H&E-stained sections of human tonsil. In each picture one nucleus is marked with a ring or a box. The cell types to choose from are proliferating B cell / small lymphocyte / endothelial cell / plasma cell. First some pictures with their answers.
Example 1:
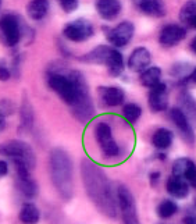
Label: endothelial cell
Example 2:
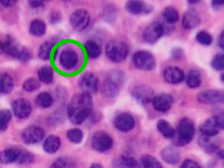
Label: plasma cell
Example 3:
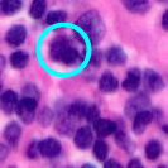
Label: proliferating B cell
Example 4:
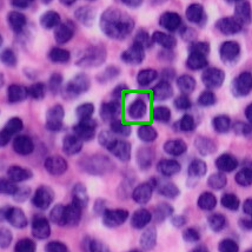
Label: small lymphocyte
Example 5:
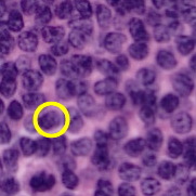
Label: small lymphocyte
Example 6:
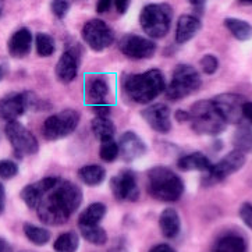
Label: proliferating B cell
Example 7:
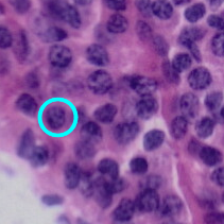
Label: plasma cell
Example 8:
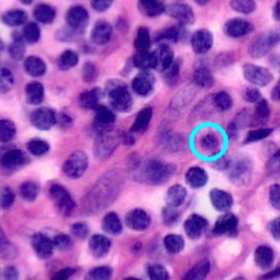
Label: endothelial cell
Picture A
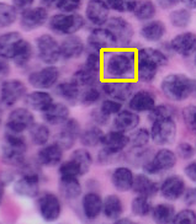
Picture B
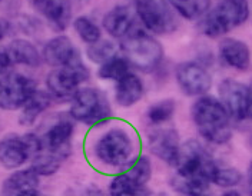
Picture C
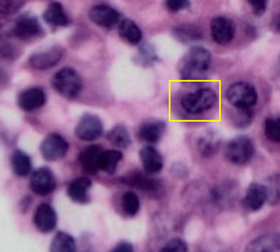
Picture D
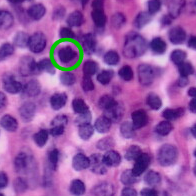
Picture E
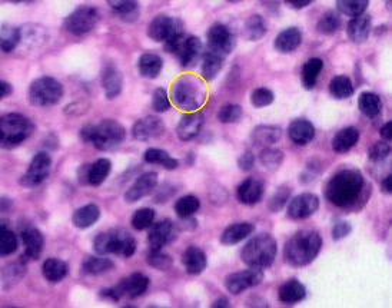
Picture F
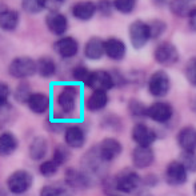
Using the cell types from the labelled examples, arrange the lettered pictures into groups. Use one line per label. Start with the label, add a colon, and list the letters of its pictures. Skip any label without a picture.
proliferating B cell: B, E
small lymphocyte: A, F
plasma cell: C, D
